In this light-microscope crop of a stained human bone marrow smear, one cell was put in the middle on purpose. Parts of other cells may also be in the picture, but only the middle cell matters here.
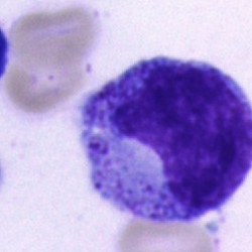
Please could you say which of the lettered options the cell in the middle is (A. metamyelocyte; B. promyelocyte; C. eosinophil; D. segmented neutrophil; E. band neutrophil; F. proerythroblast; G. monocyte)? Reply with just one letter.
B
